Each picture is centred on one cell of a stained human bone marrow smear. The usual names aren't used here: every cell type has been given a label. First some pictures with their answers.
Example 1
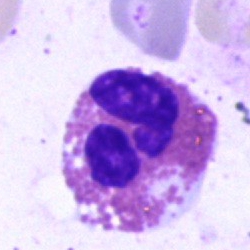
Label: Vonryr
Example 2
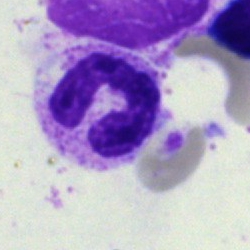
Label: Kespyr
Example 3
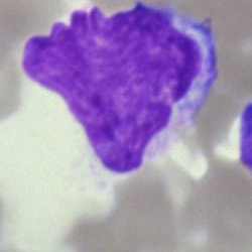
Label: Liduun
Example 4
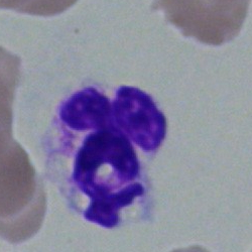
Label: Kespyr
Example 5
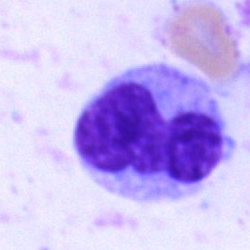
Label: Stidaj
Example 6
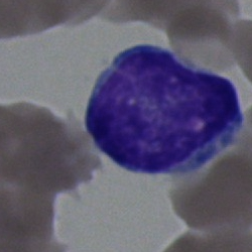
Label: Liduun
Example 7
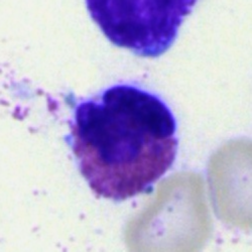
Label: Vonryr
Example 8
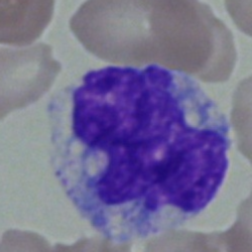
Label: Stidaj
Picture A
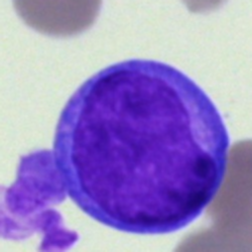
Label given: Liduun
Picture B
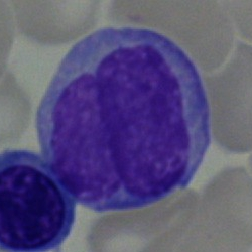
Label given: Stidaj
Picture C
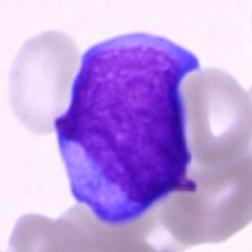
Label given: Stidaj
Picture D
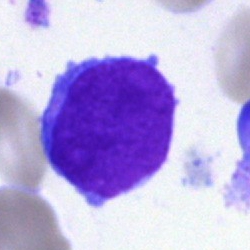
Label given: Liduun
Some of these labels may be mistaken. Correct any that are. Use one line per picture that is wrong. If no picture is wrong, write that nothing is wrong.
C: Liduun, not Stidaj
